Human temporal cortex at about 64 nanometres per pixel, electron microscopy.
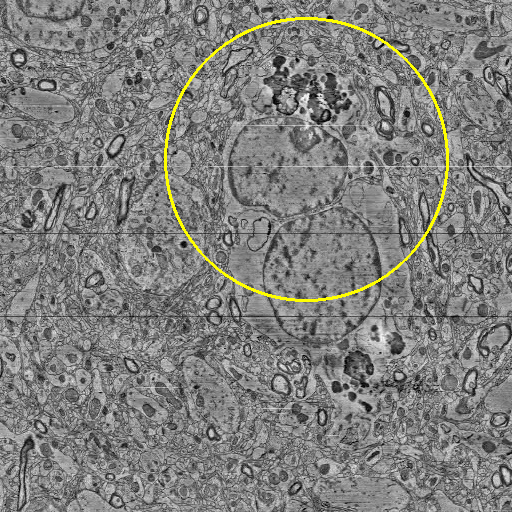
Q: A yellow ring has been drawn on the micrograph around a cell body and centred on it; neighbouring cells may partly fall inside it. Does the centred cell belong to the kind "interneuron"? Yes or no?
No, it belongs to another kind.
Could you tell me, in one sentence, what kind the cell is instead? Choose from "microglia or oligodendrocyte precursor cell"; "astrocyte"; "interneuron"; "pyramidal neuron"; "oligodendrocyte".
Instead, the ring surrounds an astrocyte in this picture.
